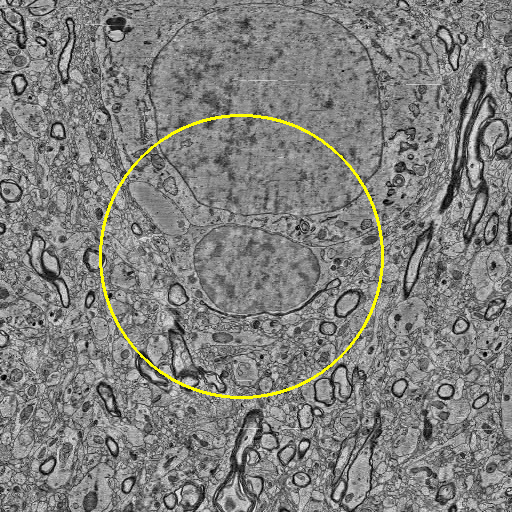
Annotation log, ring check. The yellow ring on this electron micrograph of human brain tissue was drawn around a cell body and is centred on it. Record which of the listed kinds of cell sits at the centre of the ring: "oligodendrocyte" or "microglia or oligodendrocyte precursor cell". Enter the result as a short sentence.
The cell at the centre of the ring is an oligodendrocyte.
